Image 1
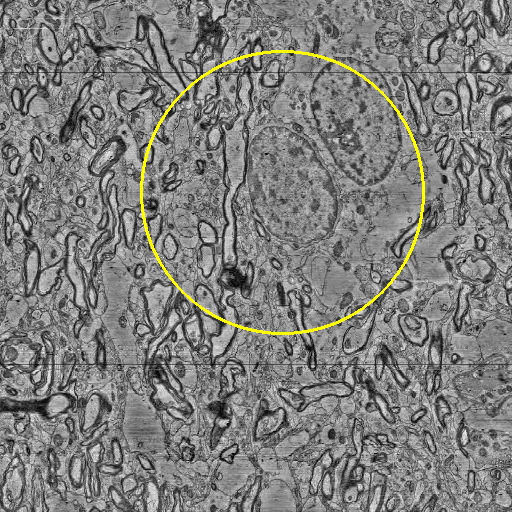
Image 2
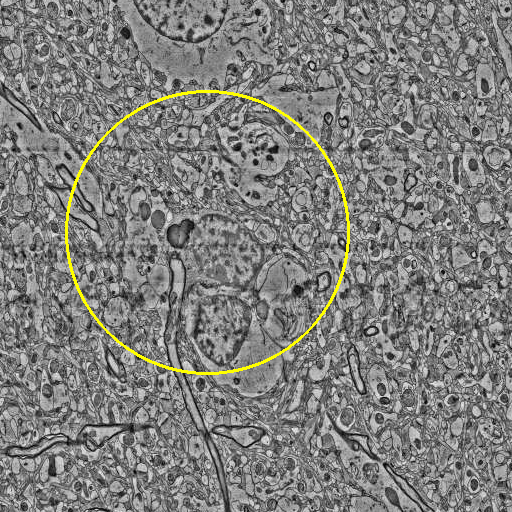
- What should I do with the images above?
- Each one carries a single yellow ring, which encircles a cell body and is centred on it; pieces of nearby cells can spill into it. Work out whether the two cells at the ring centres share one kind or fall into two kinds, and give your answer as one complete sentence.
The ring-centre cells of Image 1 and Image 2 share one kind.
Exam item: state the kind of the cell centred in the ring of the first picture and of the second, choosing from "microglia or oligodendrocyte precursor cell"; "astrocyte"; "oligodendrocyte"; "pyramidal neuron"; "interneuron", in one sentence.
The cell at the ring centre is an oligodendrocyte in both pictures.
